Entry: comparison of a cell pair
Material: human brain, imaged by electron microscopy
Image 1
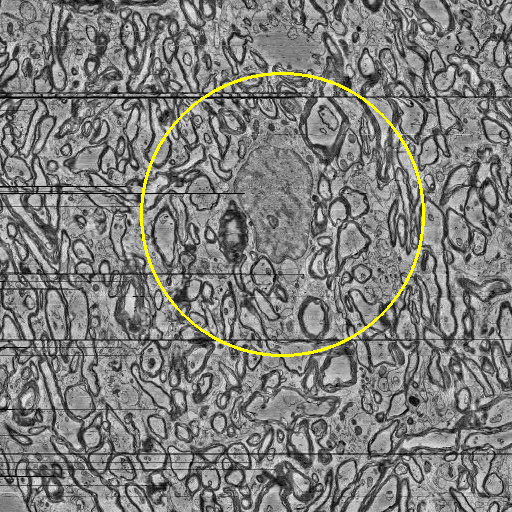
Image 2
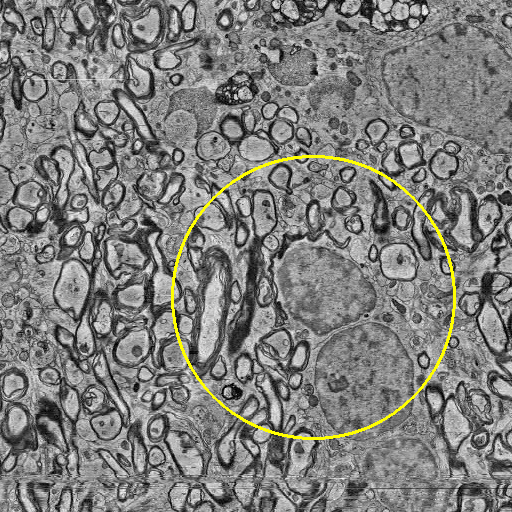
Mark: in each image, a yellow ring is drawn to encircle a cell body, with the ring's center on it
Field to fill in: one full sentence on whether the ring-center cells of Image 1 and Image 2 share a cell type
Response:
Yes, Image 1 and Image 2 each show a ring-center cell of one shared type.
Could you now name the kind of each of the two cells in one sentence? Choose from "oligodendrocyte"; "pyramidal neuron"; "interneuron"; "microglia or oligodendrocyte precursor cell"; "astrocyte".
The cell in the first picture is an oligodendrocyte, and so is the one in the second.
